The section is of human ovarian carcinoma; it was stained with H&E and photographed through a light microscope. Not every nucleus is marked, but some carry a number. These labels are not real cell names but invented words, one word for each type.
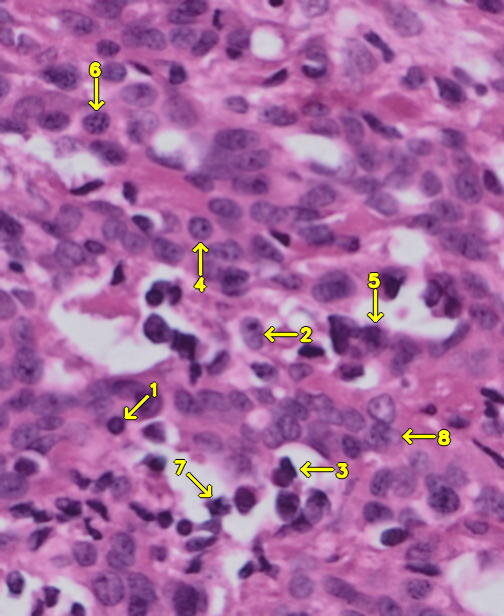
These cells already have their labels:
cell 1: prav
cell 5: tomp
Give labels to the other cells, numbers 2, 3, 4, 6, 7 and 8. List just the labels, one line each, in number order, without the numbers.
prav
tomp
prav
prav
tomp
tomp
